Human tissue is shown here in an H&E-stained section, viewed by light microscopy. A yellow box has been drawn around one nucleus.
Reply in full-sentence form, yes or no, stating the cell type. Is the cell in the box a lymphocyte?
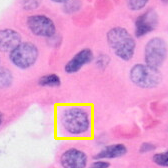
No, write a loop of Henle or distal tubule cell for the cell in the box rather than a lymphocyte.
